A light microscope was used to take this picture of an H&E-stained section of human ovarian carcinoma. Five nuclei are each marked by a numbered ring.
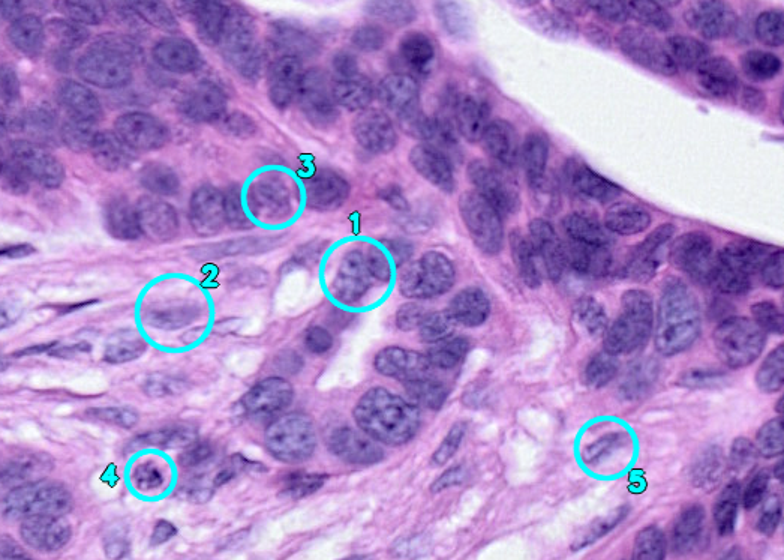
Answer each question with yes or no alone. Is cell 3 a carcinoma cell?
yes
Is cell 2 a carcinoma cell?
no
